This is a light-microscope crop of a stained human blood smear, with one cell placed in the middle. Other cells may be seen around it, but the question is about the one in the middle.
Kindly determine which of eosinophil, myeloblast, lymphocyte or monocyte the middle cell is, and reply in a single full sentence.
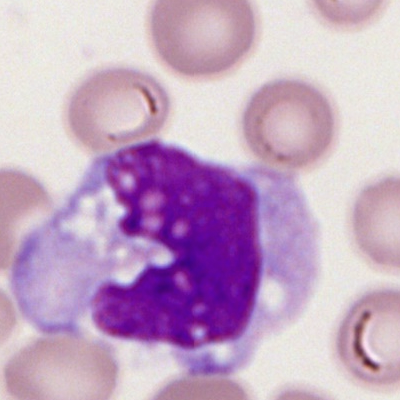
The center cell of this crop is a monocyte.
